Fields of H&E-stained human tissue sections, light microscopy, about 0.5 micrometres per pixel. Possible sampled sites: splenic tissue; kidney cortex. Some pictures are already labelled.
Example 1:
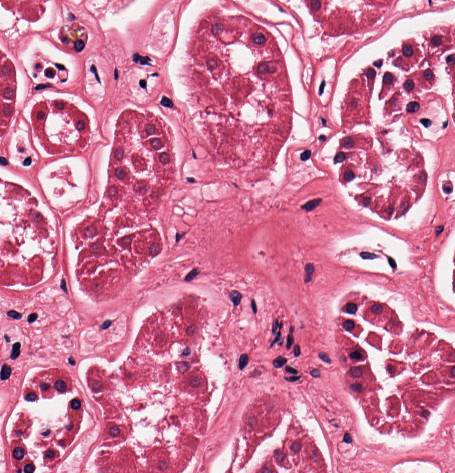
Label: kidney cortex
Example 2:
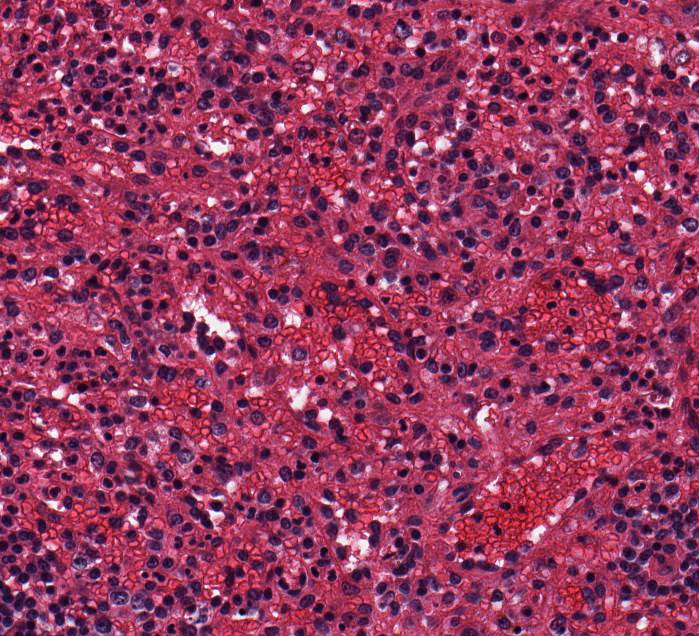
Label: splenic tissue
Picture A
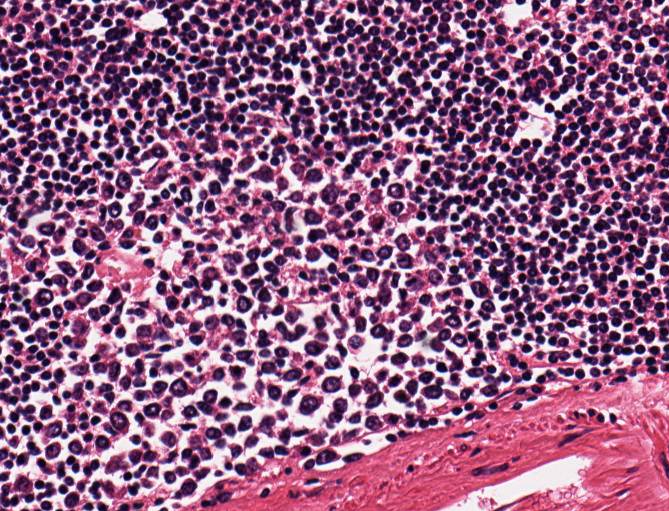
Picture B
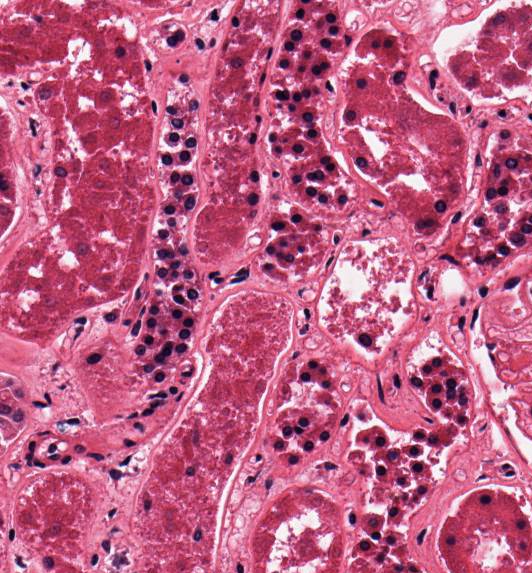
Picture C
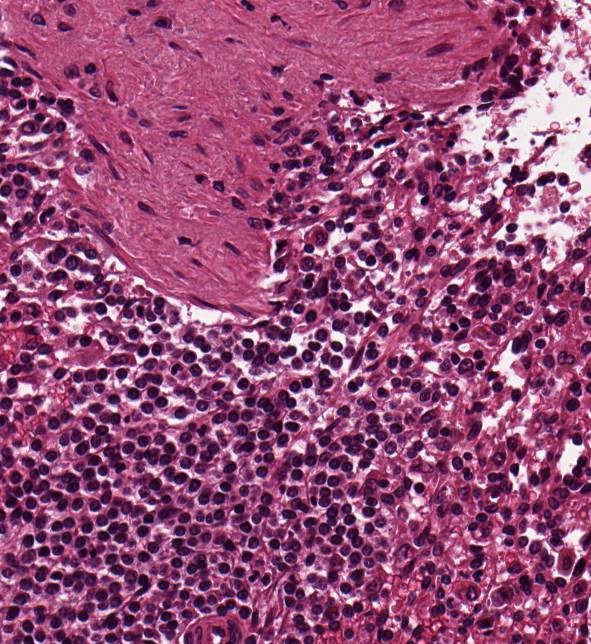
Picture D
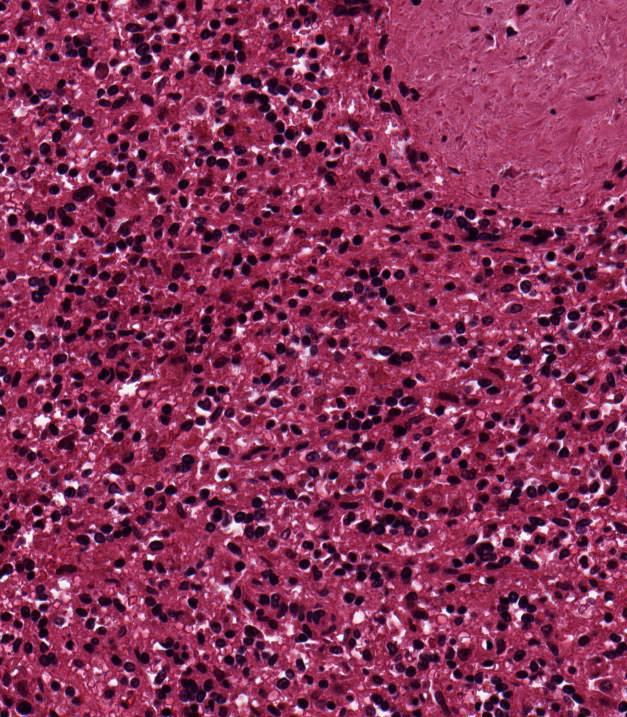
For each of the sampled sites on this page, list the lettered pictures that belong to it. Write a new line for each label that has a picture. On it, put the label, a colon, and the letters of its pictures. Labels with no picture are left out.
splenic tissue: A, C, D
kidney cortex: B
